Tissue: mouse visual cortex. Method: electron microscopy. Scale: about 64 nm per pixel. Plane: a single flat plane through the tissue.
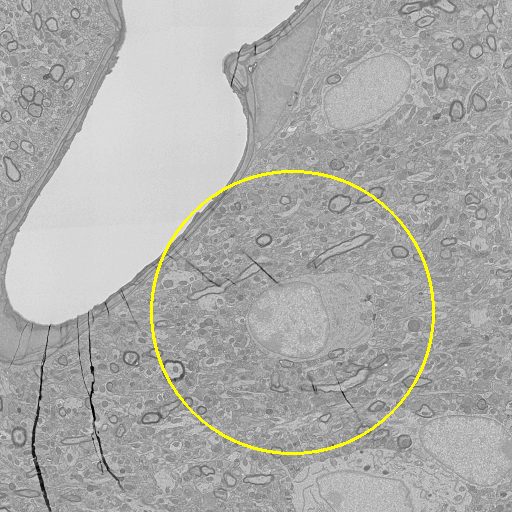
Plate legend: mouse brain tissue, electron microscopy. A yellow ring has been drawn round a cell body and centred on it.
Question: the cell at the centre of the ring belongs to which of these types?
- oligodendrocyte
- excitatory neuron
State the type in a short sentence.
The cell in the middle of the ring is an oligodendrocyte.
